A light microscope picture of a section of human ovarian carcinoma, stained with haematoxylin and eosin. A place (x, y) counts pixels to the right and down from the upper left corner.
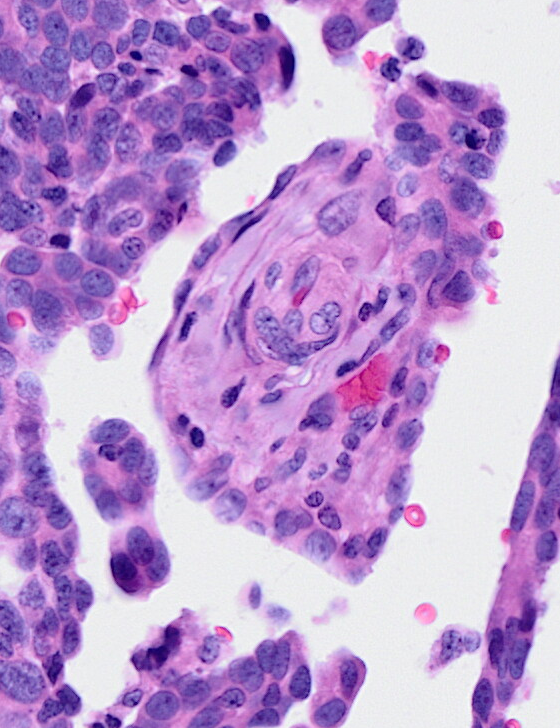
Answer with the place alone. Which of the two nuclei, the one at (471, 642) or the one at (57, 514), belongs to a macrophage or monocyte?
(471, 642)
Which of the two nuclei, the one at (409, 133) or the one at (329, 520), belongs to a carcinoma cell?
(409, 133)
